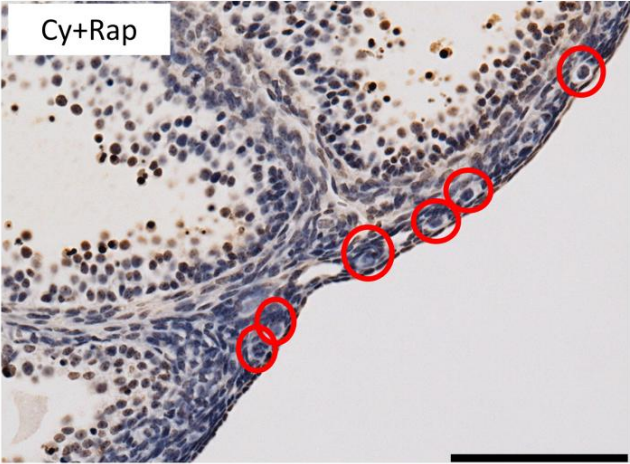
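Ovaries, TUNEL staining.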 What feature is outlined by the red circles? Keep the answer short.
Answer: Primordial follicles.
